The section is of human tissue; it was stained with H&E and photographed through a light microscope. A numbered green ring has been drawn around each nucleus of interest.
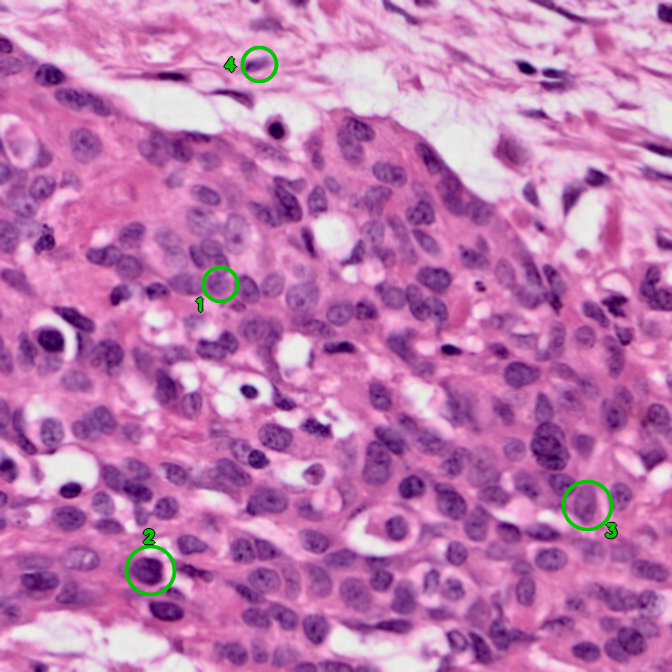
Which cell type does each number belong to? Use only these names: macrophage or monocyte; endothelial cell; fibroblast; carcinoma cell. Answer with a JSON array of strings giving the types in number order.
["carcinoma cell", "carcinoma cell", "carcinoma cell", "fibroblast"]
